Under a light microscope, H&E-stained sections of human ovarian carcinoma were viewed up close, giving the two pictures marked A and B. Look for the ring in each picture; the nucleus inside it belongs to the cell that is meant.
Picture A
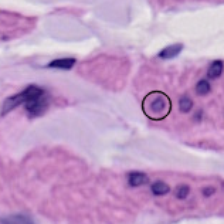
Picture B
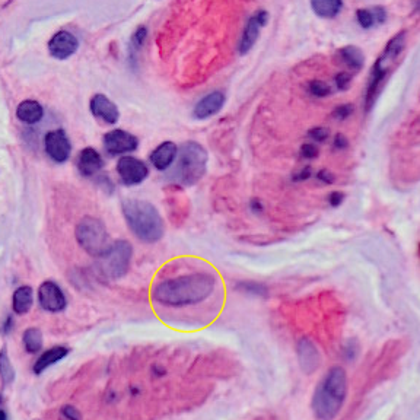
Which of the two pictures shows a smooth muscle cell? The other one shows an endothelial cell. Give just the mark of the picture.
A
